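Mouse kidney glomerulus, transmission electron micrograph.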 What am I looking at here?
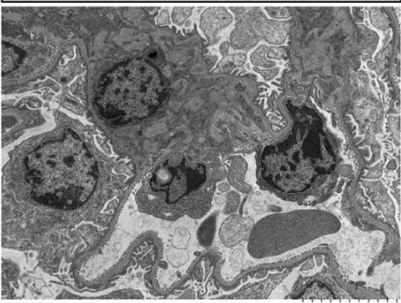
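A capillary lumen at the lower right holds a dense, smooth oval red blood cell. Thin dark basement membranes wind along the capillary walls, lined by small regular processes.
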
